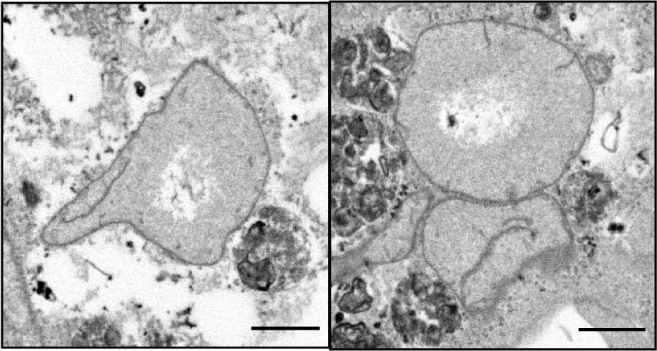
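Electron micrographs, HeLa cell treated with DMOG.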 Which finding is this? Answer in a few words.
Swollen mitochondria.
